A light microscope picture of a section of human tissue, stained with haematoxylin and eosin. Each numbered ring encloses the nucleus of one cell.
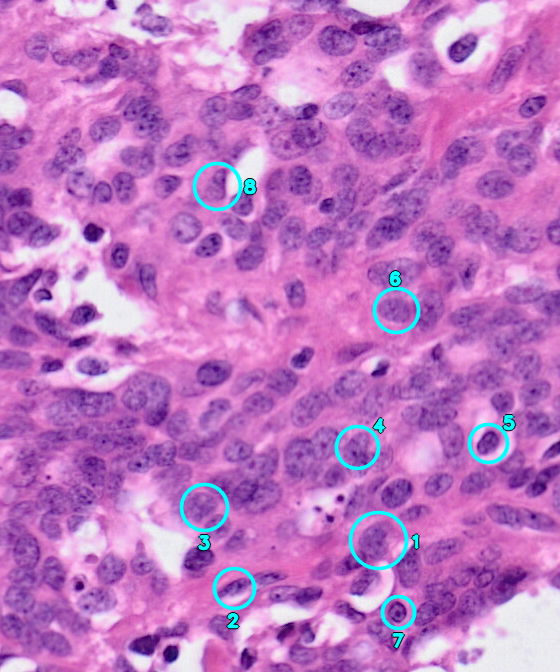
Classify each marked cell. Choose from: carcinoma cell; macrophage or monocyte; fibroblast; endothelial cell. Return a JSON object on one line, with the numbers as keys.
{"1": "carcinoma cell", "2": "endothelial cell", "3": "carcinoma cell", "4": "carcinoma cell", "5": "macrophage or monocyte", "6": "carcinoma cell", "7": "macrophage or monocyte", "8": "carcinoma cell"}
